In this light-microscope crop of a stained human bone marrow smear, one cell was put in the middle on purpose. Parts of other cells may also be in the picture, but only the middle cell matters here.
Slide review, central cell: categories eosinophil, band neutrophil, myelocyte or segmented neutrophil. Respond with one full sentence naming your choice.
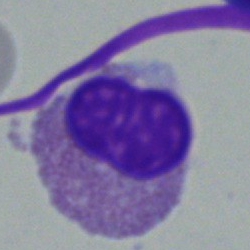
Centred in the crop is an eosinophil.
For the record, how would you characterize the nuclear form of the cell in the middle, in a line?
Between us, the nucleus here is just one compact mass, round, oval or kidney-shaped.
